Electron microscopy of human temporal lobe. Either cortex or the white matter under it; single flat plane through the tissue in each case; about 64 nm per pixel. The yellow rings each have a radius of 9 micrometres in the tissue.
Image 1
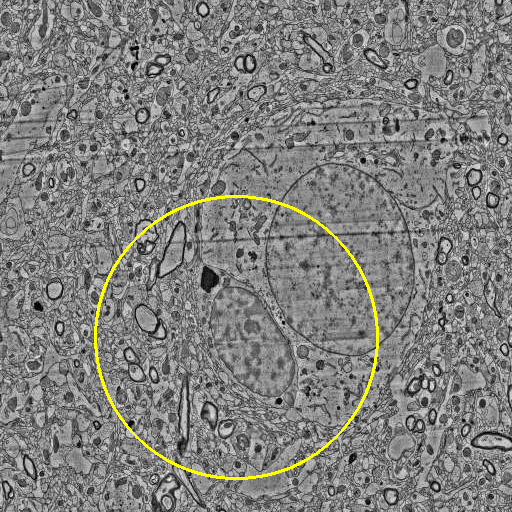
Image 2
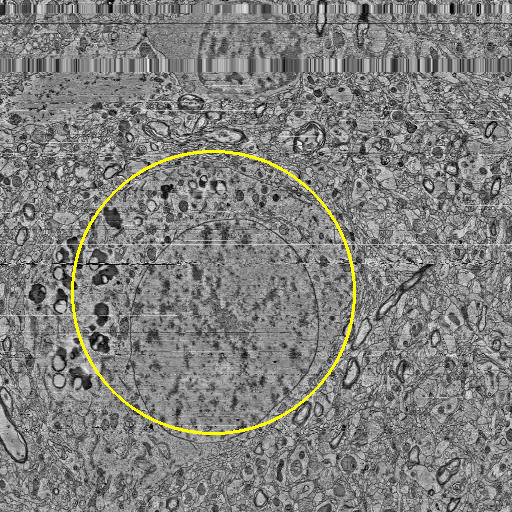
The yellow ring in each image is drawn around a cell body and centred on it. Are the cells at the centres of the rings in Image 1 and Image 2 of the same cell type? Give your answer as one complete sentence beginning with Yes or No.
No, the two cells are of two separate types.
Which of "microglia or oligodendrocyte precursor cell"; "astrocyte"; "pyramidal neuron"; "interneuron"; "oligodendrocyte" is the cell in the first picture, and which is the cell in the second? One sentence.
The two differ: the first cell is an oligodendrocyte and the second is a pyramidal neuron.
